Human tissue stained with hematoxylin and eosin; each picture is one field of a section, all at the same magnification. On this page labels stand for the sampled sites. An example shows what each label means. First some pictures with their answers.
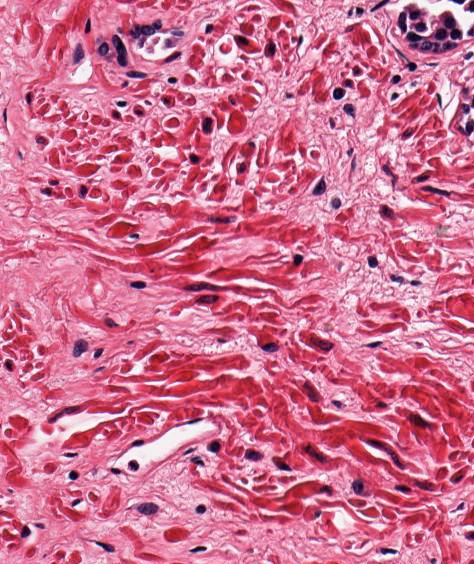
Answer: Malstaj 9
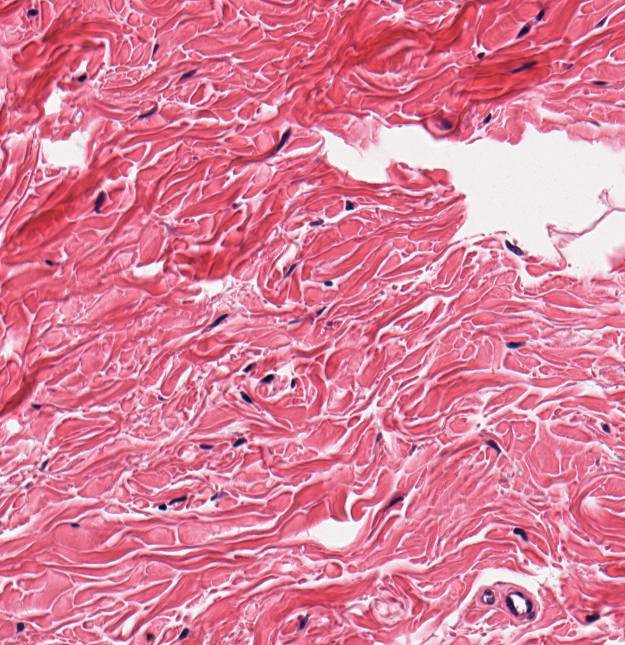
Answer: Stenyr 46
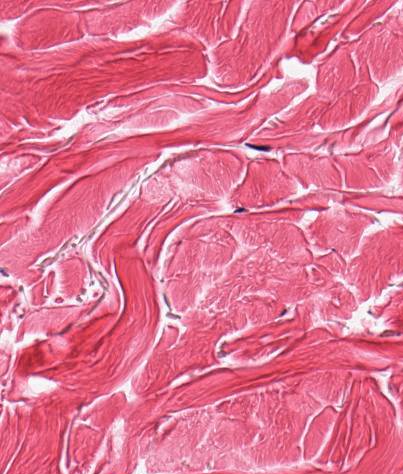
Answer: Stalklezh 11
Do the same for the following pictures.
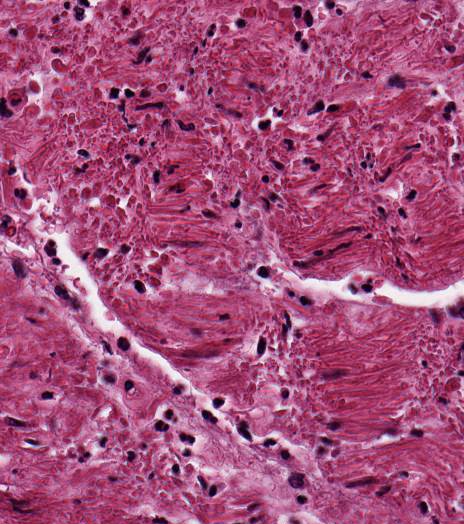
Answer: Stenyr 46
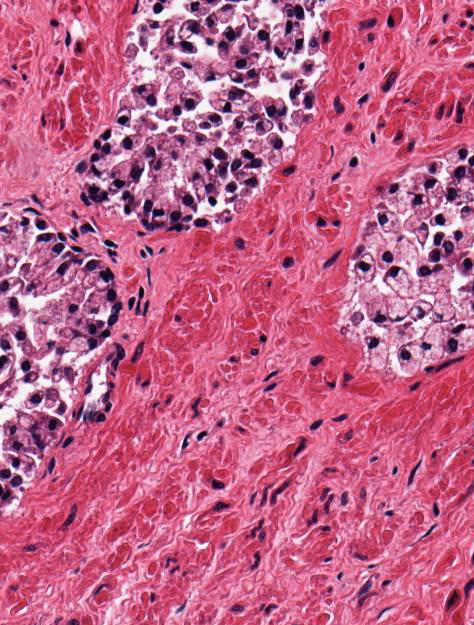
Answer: Malstaj 9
